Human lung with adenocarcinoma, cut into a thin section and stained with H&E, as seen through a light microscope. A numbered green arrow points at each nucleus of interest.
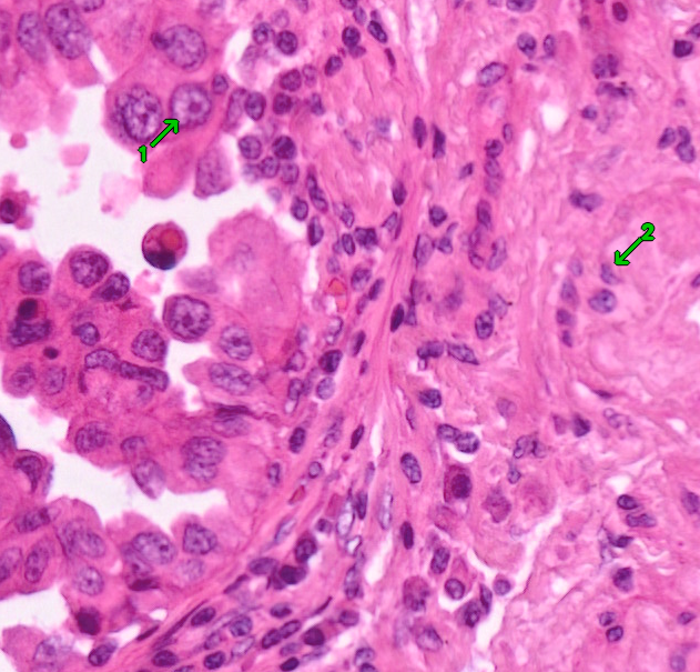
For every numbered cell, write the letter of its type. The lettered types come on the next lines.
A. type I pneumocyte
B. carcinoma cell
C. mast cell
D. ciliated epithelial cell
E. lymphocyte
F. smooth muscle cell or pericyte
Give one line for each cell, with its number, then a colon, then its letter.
1: B
2: F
